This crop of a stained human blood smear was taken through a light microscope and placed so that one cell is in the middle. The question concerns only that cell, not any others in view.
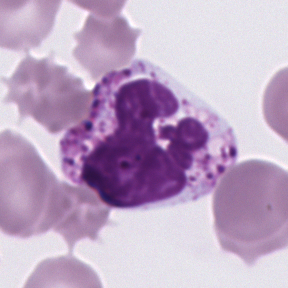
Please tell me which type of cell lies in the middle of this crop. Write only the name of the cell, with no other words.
basophil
